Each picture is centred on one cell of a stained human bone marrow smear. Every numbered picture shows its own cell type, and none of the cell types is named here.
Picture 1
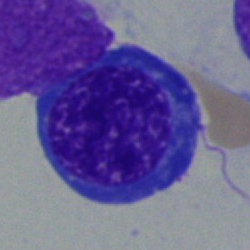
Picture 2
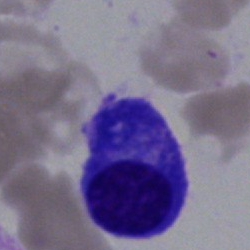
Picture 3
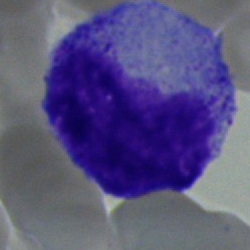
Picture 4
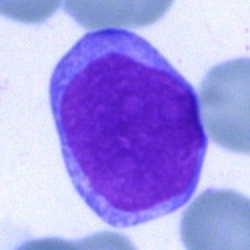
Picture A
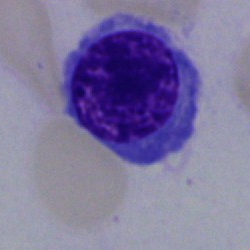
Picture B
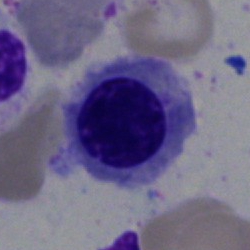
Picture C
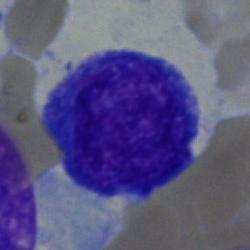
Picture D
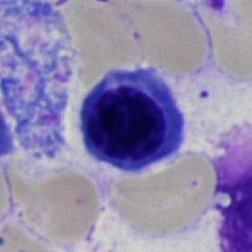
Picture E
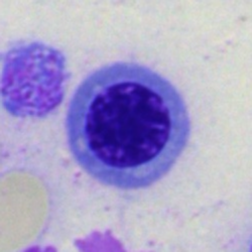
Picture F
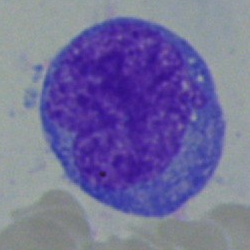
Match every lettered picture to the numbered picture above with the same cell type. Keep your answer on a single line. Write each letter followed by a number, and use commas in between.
A 1, B 1, C 4, D 1, E 1, F 4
